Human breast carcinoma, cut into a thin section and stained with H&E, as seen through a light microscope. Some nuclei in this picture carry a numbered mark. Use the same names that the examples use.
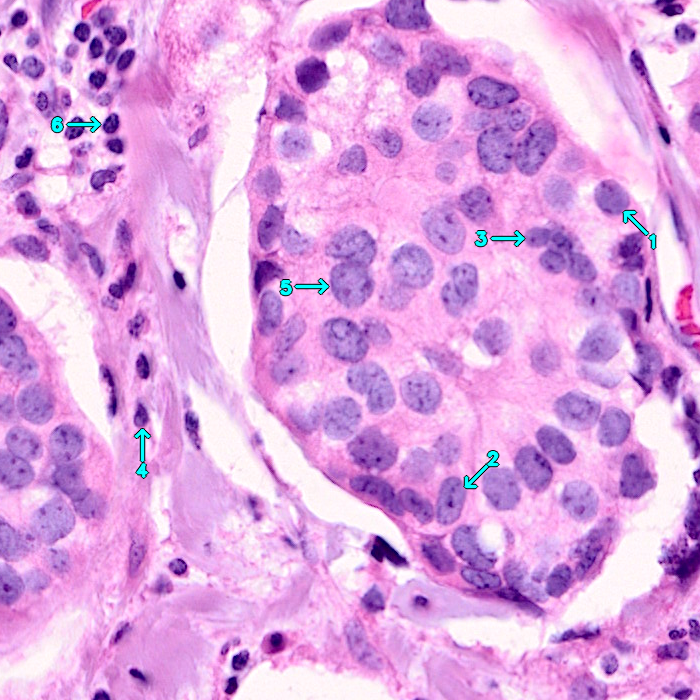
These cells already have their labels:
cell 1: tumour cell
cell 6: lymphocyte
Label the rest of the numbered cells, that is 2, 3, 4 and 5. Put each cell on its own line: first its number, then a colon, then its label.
2: tumour cell
3: tumour cell
4: lymphocyte
5: tumour cell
